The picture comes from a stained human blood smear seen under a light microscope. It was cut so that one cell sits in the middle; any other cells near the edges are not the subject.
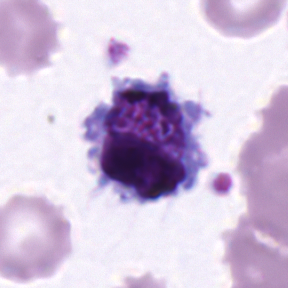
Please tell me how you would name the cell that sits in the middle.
plasma cell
